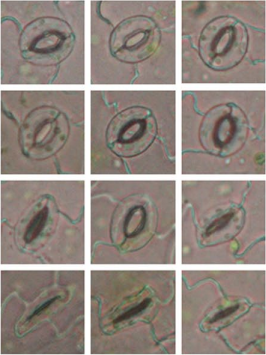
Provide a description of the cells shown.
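A grid of small light micrographs of leaf epidermis, each centred on a single stoma. In every image, two curved, bean-shaped guard cells lie face to face and enclose a central pore that appears as a darker or paler slit between them. The guard cells form an oval outline that stands out from the surrounding epidermal cells, whose thin walls run in wavy, jigsaw-like lines. In some images the pore is broad and oval. In others it is narrowed to a thin dark slit, and the guard cell pair looks more elongated. The tissue has a pinkish-brown background.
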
